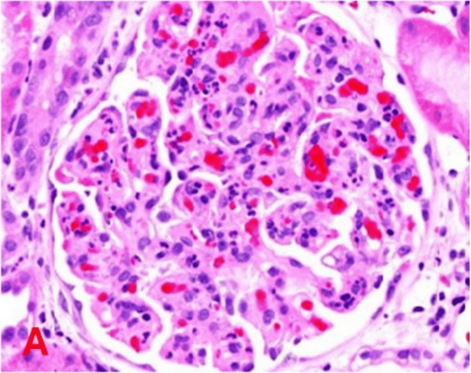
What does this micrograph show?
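This is a glomerulus of the kidney cut in the middle, surrounded by a thin capsule and a narrow clear space, with tubules around it. The tuft is hypercellular: many small, dark, often irregular nuclei crowd the capillary loops and the stalk regions, in keeping with inflammatory cells within the tuft. Red blood cells stain bright red and lie scattered in the capillary lumens. The capillary loops are lobulated and partly filled by cells. No crescent of cells is seen in the space between tuft and capsule. The neighbouring tubules have pink cytoplasm and round nuclei.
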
